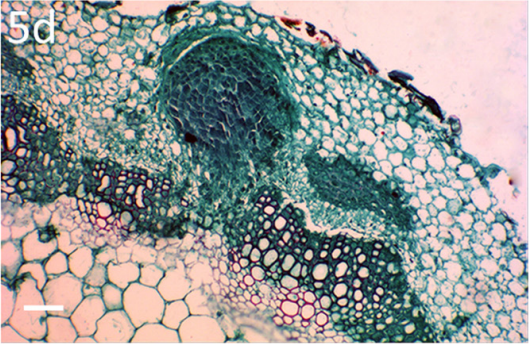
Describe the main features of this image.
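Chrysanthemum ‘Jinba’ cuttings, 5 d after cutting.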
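In this cross-section of a stem base, large pale polygonal cells fill the lower left, a band of red-stained thick-walled cells runs across the middle, and small rounded green-outlined cells make up the outer tissue toward the surface. Within the outer tissue sits a conspicuous dome-shaped mass of very small, tightly packed, dark-staining cells that bulges outward toward the surface, with a dark band of similar small cells running from it toward the thick-walled ring. Such a compact, densely cytoplasmic cell mass arising near the vascular ring and pushing through the cortex is a root primordium forming in the stem.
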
